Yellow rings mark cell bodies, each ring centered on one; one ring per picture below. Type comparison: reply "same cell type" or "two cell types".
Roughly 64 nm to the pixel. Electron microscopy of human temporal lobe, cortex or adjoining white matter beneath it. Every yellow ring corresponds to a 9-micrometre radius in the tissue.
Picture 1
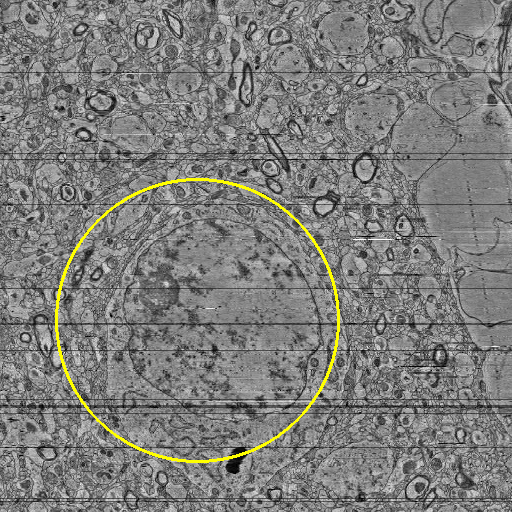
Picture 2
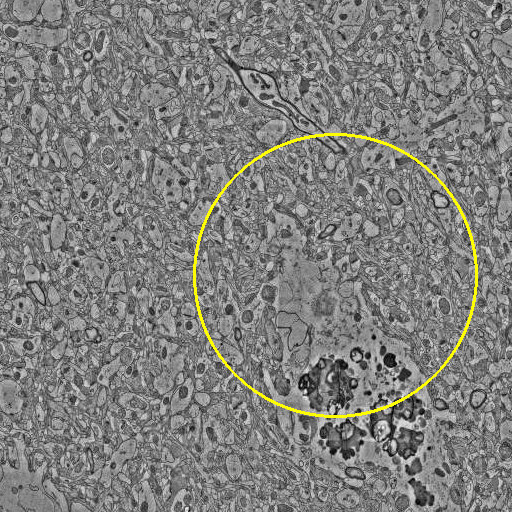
two cell types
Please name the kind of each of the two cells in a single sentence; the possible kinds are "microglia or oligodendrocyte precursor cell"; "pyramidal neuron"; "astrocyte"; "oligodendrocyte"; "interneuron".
In the first picture the ring is centred on a pyramidal neuron, and in the second on an astrocyte.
